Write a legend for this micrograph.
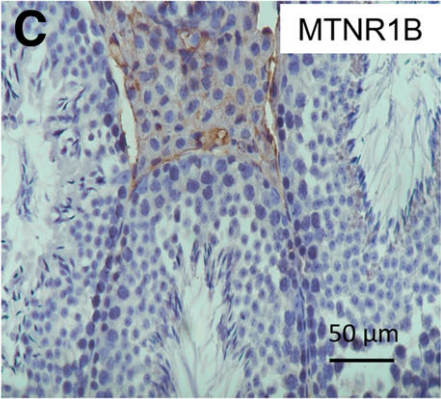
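This is testis tissue with seminiferous tubules cut across and a wedge of interstitial tissue between them holding Leydig cells. The tubules are packed with layered germ cells with round blue nuclei, and in their lumens lie bundles of pale, thread-like sperm tails. Where three tubules meet, a triangular interstitial space contains a cluster of cells whose cytoplasm and borders are stained brown, with blue nuclei; these are the Leydig cells. Faint brown also follows the outer edges of the tubules. Most germ cells inside the tubules remain blue only.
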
